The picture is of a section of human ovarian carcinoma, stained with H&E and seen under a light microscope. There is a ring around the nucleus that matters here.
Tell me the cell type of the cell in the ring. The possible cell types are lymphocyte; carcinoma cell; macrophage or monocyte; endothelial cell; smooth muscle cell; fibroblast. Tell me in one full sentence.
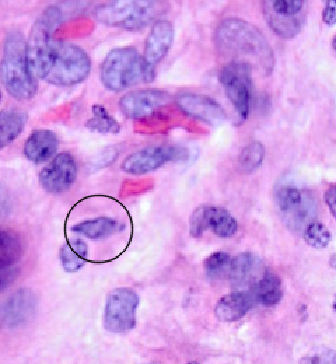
The identity of the cell in the ring: it is a macrophage or monocyte.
